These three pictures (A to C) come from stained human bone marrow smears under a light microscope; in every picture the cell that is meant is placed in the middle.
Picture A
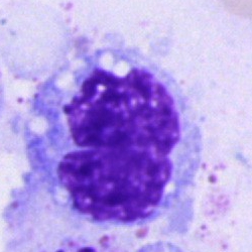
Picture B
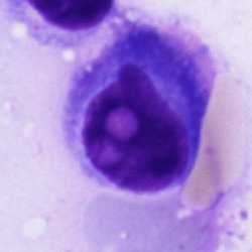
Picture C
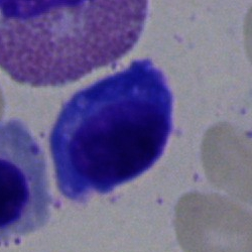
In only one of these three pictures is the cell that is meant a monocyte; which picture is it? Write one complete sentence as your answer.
Picture A shows the monocyte.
